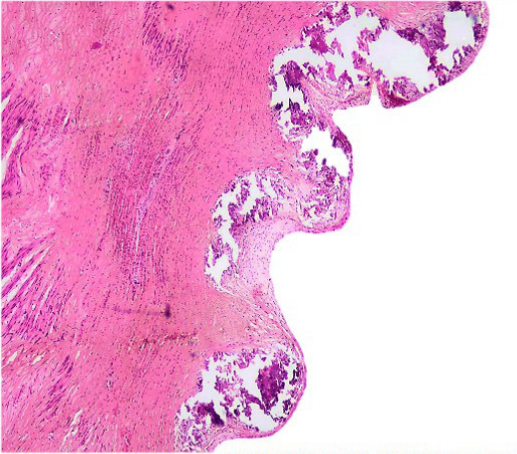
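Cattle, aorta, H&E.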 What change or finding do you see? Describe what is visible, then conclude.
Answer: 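Several rounded bulges of the vessel wall project into the empty lumen on the right. The bulges contain dark purple, granular, fractured deposits.
Conclusion: protruding plaques towards the lumen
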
